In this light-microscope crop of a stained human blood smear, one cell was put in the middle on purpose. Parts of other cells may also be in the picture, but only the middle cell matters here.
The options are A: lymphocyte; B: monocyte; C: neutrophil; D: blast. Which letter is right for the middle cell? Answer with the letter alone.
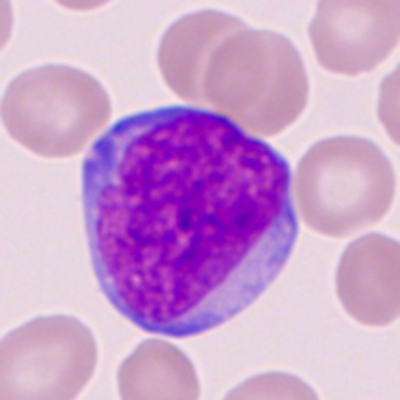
D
